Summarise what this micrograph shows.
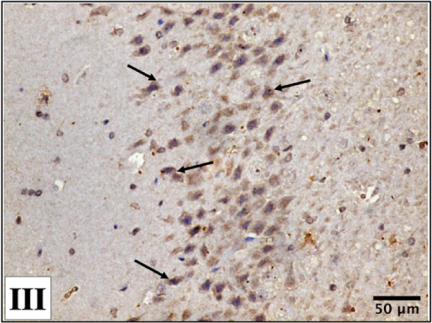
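This field shows a band of pyramidal cells in the hippocampus, packed several cells deep across a pale, finely fibrous background. Many of the cells have triangular or spindle-shaped bodies whose cytoplasm is stained a dense brown, partly obscuring their bluish nuclei. Some cells send tapering brown processes out of the band. Scattered small round cells with dark nuclei lie in the neighbouring fibrous tissue.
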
